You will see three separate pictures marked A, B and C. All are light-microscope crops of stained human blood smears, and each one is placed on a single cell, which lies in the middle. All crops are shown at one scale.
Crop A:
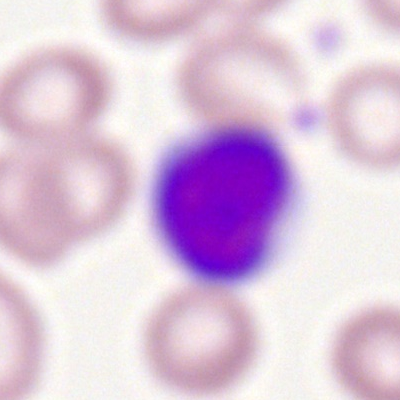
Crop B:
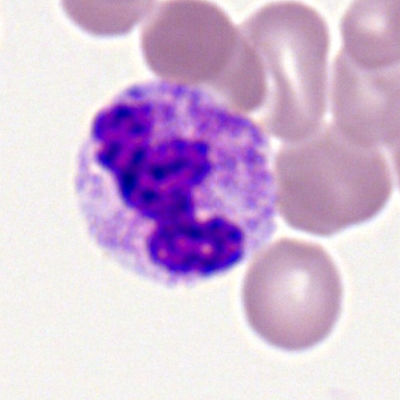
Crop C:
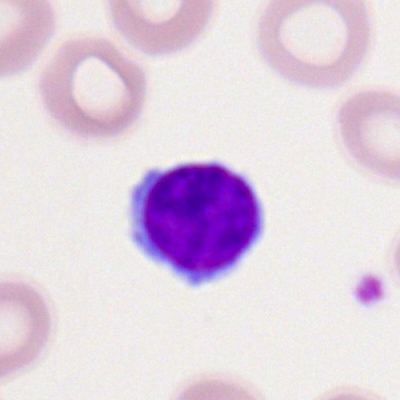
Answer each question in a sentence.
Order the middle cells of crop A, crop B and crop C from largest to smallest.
Largest first: B, A, C.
